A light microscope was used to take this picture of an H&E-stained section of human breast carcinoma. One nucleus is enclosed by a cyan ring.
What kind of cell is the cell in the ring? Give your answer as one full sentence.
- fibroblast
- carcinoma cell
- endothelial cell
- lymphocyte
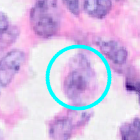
Within the stained tissue, the cell in the ring is a carcinoma cell.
